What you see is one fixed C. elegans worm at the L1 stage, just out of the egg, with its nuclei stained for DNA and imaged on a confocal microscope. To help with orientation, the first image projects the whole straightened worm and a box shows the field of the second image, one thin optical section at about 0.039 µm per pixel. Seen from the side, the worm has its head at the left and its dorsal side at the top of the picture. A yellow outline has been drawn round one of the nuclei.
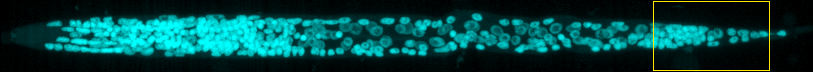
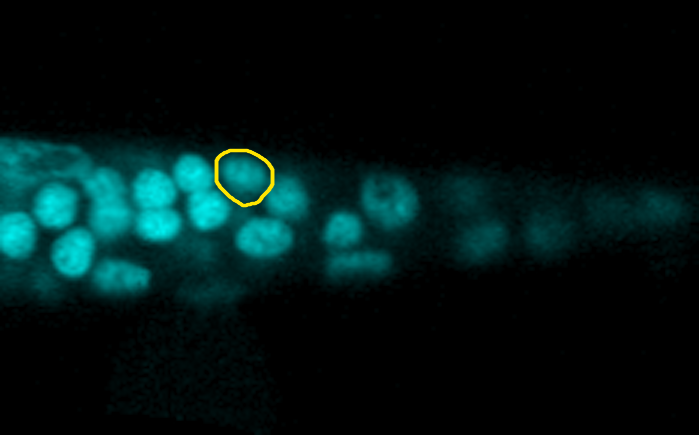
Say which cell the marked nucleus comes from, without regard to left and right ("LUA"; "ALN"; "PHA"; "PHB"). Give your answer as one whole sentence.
It is the nucleus of ALN, a neuron.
